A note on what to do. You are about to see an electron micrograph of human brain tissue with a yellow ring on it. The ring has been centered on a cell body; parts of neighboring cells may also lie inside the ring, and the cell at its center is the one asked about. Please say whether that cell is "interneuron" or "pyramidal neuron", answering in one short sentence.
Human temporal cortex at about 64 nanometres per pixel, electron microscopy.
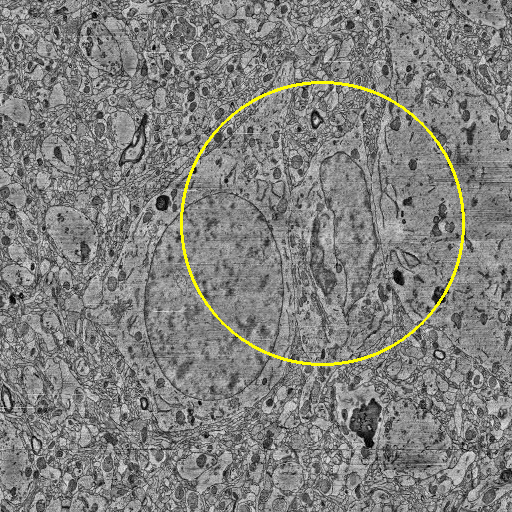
The yellow ring sits on an interneuron.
